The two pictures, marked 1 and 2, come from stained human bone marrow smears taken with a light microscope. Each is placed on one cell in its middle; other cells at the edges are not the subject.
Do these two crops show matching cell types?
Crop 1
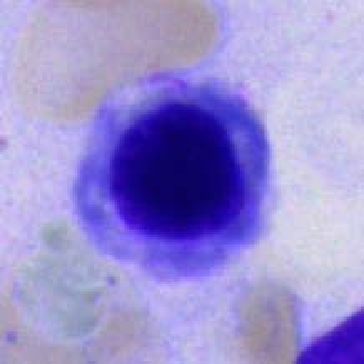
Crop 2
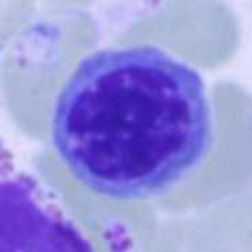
yes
